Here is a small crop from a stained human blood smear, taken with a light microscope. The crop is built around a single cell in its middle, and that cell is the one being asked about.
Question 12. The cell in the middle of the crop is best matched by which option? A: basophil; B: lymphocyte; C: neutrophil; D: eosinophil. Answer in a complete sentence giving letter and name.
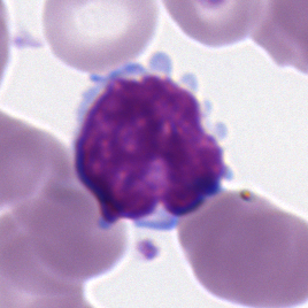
The cell at the centre is a lymphocyte, and option B accordingly is correct.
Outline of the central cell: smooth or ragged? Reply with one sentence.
This cell does not have a smooth edge; it is ragged or extended into projections.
